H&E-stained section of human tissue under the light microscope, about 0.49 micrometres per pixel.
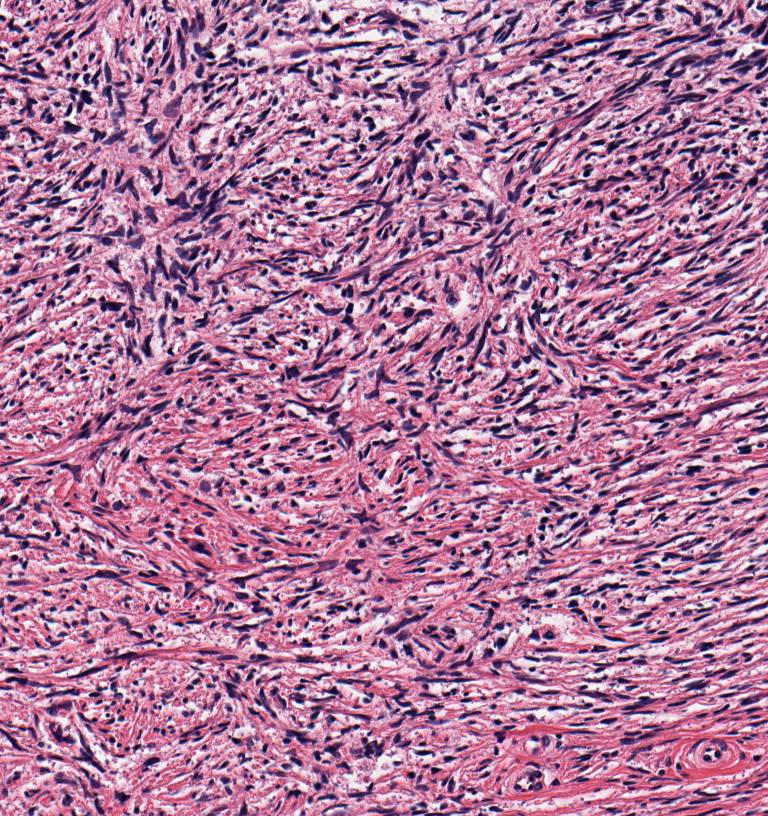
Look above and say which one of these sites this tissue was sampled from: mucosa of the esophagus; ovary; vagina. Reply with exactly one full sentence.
This tissue was sampled from the ovary.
